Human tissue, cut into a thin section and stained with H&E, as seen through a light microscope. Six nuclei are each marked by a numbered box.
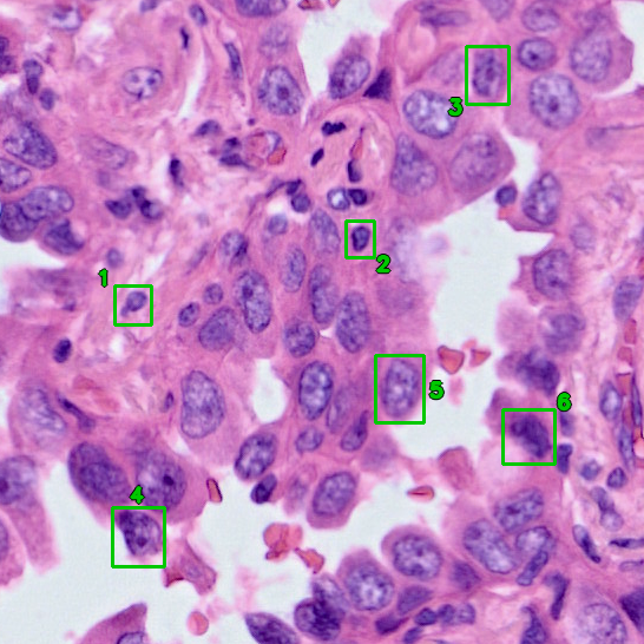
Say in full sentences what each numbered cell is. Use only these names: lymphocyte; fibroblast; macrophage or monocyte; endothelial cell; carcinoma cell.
Cell 1 is a lymphocyte, cell 2 is a lymphocyte, cell 3 is a carcinoma cell, cell 4 is a carcinoma cell, cell 5 is a carcinoma cell and cell 6 is a carcinoma cell.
